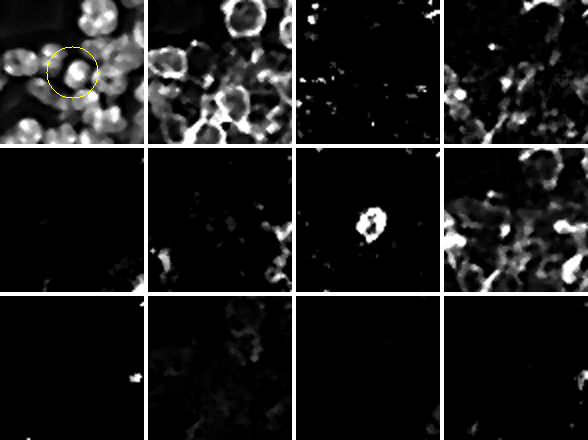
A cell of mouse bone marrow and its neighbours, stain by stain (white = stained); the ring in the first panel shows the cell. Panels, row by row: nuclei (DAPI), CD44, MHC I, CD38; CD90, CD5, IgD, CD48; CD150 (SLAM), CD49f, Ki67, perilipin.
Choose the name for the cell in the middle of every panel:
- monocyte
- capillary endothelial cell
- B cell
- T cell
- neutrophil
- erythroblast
B cell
